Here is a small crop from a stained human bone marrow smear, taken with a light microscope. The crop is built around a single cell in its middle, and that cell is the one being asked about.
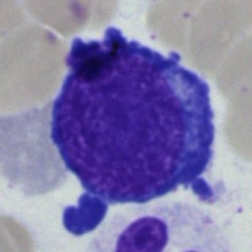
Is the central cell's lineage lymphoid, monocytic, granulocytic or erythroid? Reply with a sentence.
The cell at the very center of the crop belongs to the erythroid lineage.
